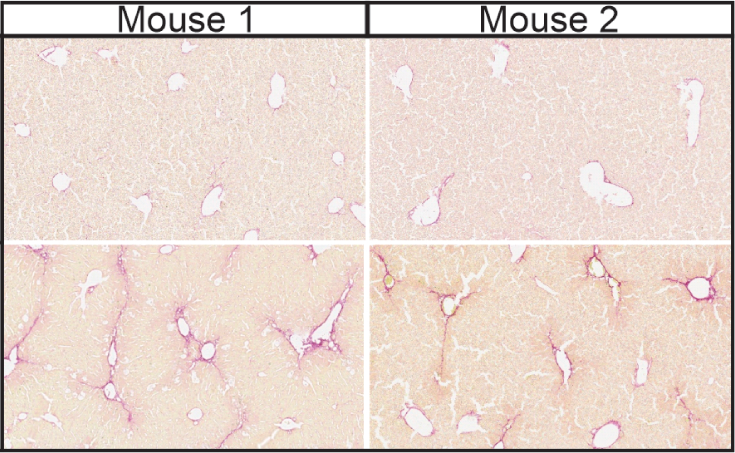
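These are low-magnification sections of liver parenchyma, with hepatocyte plates appearing as a pale yellow-pink background around scattered white vessel openings. In the upper row, the red-stained fibers are faint and lie mainly at the rims of the vessels.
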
